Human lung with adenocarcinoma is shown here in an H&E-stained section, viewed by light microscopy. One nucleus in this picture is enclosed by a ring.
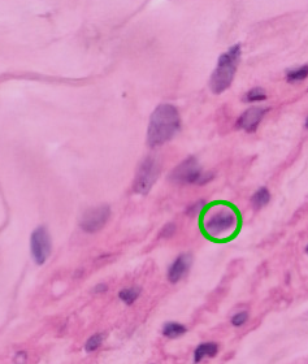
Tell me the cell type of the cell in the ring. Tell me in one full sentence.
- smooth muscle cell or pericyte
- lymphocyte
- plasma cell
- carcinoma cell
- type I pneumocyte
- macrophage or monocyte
As to its cell type, the cell in the ring is a smooth muscle cell or pericyte.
